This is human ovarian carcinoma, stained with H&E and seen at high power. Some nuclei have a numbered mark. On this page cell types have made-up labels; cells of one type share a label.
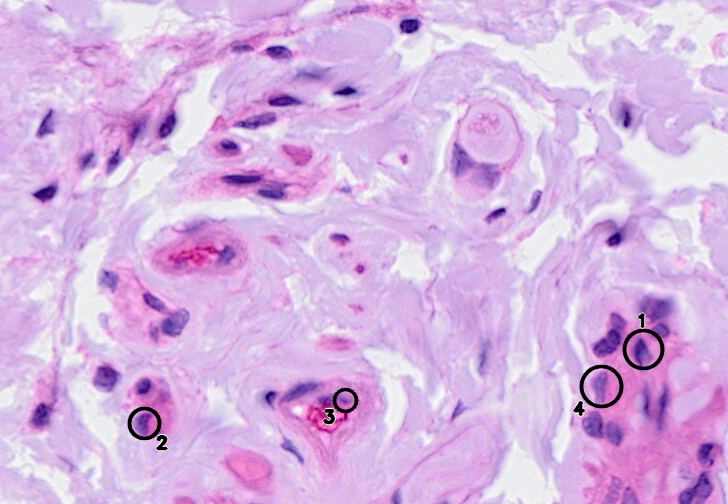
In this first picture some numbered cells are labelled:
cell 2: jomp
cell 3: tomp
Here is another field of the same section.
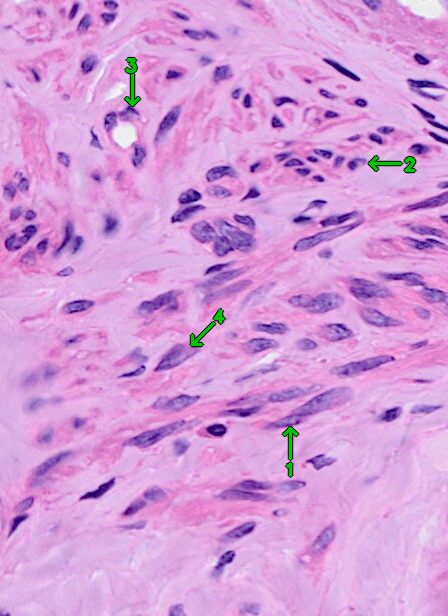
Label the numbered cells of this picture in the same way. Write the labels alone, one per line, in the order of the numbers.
jomp
jomp
tomp
jomp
